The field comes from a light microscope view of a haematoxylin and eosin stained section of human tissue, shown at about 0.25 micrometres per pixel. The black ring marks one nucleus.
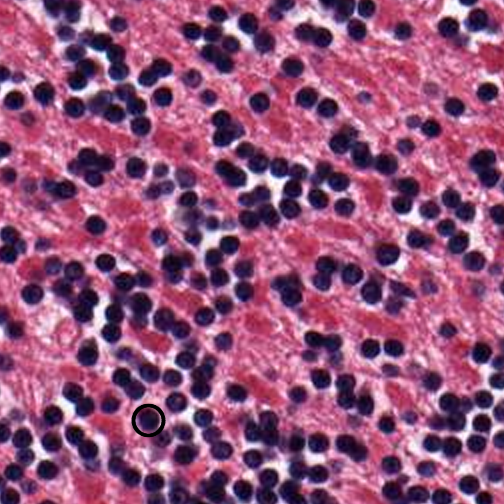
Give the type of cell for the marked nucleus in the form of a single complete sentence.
The cell to which the marked nucleus belongs is a cerebellar granule cell.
